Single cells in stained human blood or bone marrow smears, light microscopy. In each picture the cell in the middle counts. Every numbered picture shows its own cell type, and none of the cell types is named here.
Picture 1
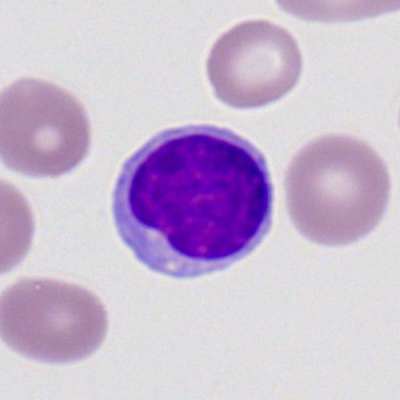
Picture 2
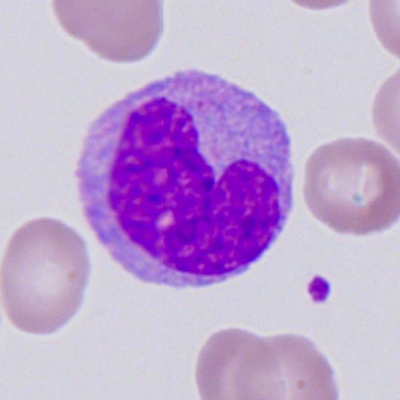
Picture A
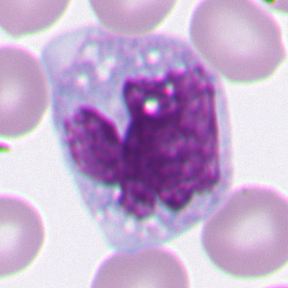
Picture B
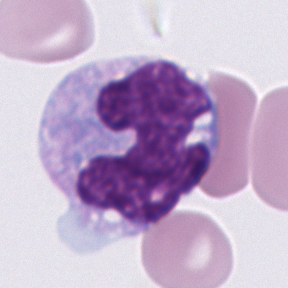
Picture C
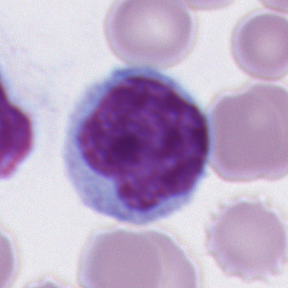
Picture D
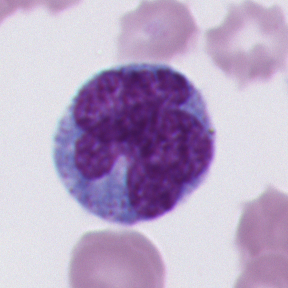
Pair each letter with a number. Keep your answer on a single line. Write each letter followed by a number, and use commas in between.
A 2, B 2, C 1, D 2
